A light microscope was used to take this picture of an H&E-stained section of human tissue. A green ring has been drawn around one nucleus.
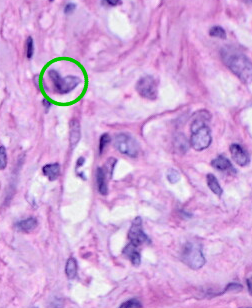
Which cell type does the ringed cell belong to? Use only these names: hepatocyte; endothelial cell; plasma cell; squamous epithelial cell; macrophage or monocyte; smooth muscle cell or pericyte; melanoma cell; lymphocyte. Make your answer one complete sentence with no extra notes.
Labelled by cell type, the ringed cell is a macrophage or monocyte.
